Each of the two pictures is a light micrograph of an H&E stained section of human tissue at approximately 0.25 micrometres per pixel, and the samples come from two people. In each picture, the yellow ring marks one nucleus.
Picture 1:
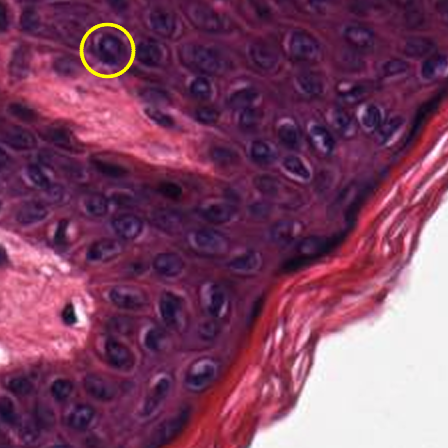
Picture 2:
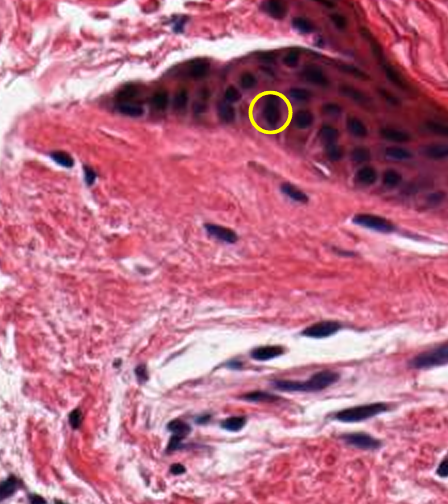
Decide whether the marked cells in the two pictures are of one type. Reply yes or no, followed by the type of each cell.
Yes, both are keratinocytes.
